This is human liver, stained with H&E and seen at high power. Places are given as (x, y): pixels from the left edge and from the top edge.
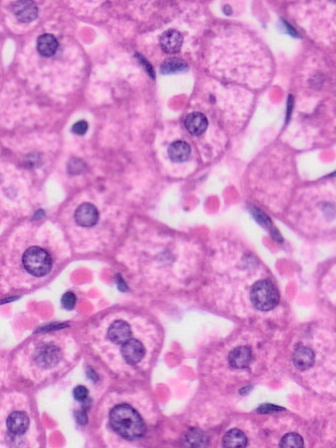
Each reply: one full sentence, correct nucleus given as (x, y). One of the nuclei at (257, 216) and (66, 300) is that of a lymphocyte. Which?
The nucleus belonging to a lymphocyte is the one at (66, 300).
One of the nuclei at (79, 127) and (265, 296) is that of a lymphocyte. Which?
Of the two nuclei, the one at (79, 127) belongs to a lymphocyte.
